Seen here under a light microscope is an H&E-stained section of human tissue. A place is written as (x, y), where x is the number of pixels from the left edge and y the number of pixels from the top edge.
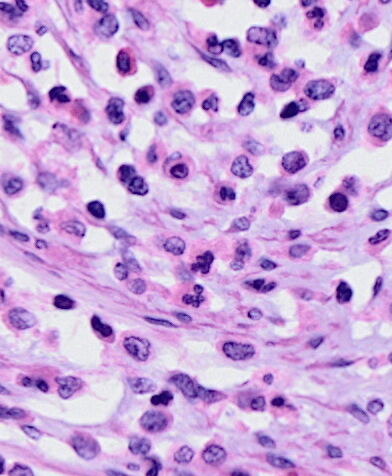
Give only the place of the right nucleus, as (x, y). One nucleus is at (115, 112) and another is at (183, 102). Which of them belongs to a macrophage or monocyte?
(183, 102)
